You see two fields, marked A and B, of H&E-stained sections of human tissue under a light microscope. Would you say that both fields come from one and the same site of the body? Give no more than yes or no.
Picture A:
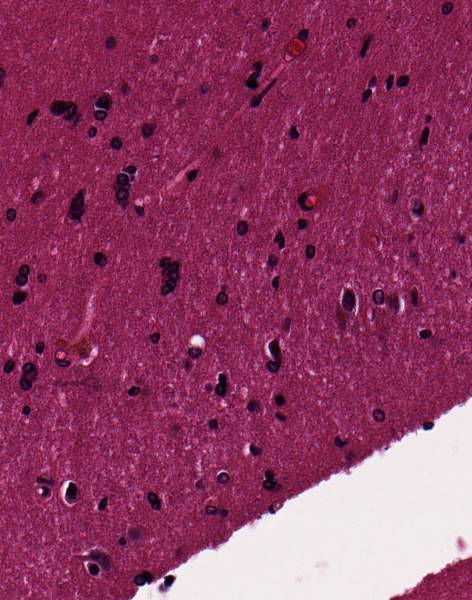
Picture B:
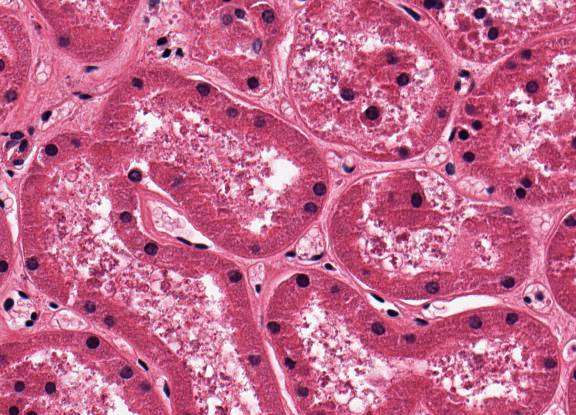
no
